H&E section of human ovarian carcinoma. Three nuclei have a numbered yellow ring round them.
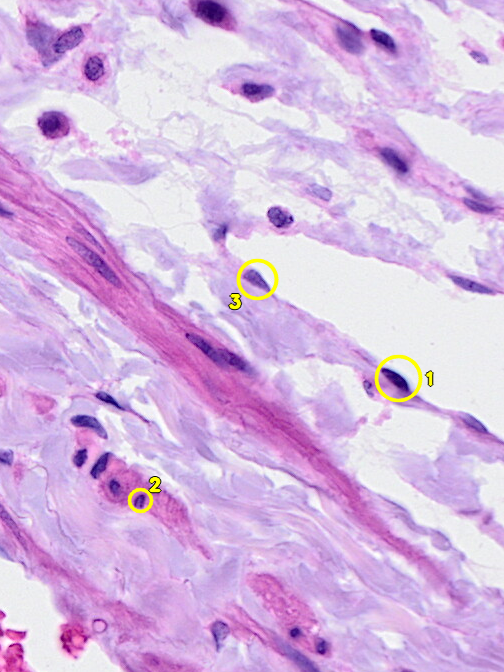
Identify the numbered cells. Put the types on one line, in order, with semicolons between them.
endothelial cell; smooth muscle cell; endothelial cell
